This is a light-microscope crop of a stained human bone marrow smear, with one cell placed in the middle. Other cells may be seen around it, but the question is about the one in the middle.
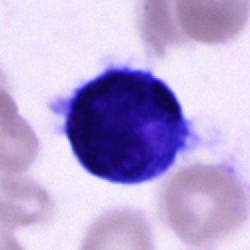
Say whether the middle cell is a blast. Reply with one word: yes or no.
yes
